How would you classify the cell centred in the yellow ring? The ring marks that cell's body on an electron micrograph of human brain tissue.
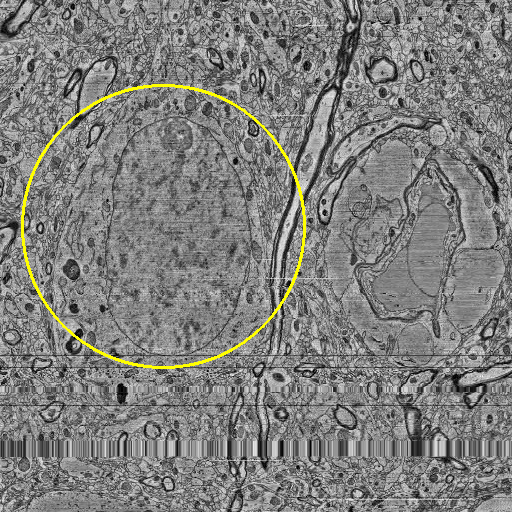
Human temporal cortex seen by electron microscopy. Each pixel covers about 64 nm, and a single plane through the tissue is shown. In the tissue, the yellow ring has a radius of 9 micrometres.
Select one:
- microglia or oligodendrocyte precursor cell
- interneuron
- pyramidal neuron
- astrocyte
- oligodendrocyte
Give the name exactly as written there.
pyramidal neuron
